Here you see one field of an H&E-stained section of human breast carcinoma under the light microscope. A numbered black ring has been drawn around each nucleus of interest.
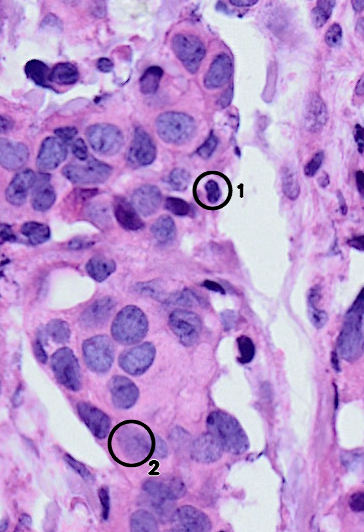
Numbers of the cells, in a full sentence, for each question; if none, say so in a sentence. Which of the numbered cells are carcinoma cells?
Of the marked cells, the one numbered 2 is a carcinoma cell and the rest are not.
